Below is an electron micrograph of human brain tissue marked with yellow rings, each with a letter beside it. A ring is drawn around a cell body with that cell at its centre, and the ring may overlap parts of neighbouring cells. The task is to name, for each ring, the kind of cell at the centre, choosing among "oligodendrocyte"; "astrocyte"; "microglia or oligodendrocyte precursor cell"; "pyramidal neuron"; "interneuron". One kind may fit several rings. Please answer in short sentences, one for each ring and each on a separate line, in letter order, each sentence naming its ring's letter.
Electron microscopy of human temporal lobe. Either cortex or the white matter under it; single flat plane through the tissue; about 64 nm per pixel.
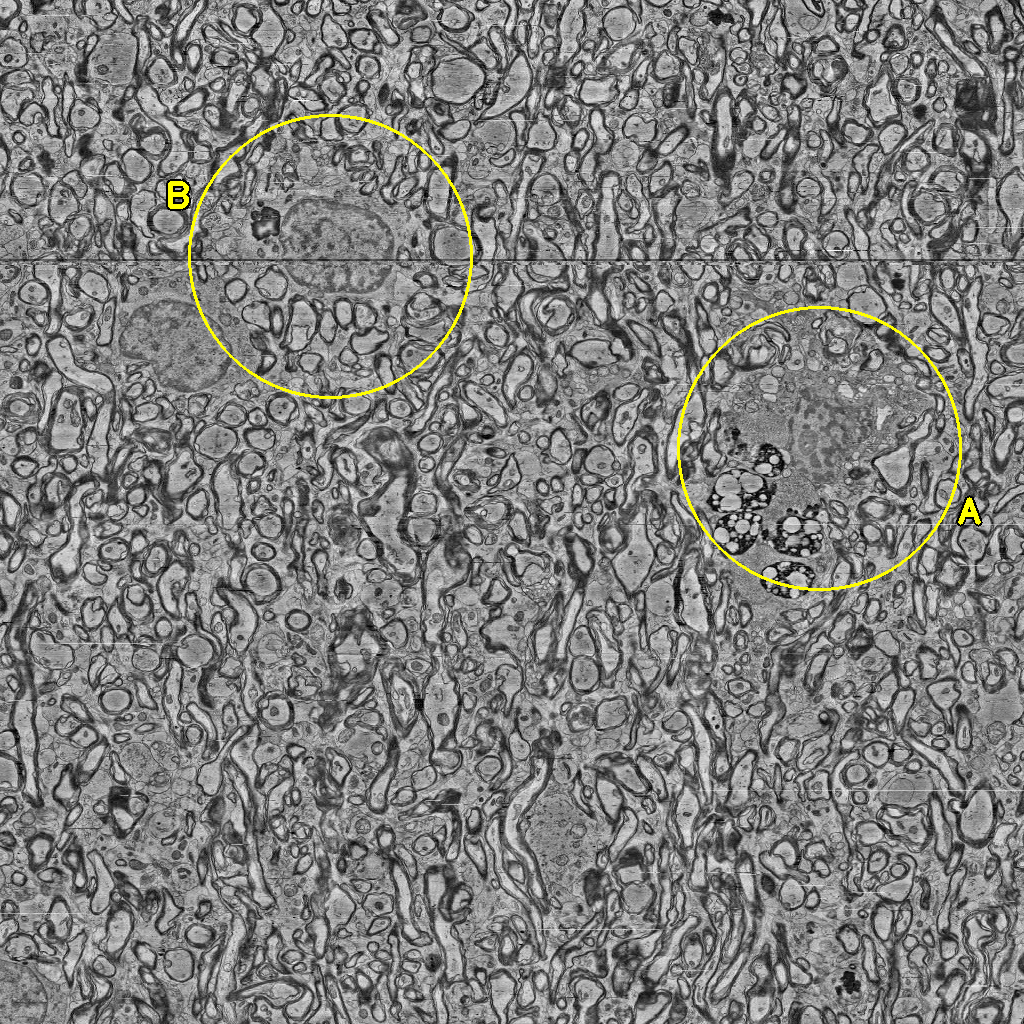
The ring with letter A is centred on an astrocyte.
The ring with letter B is centred on an oligodendrocyte.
